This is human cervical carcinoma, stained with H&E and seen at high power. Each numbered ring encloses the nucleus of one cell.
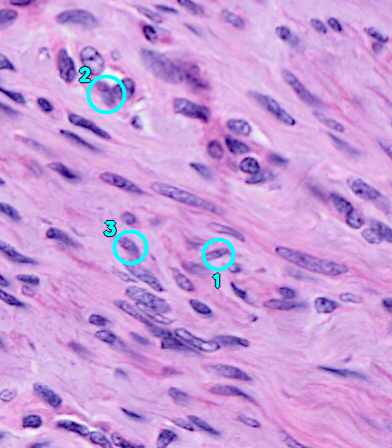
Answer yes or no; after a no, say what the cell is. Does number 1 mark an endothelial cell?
No, it is a smooth muscle cell.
